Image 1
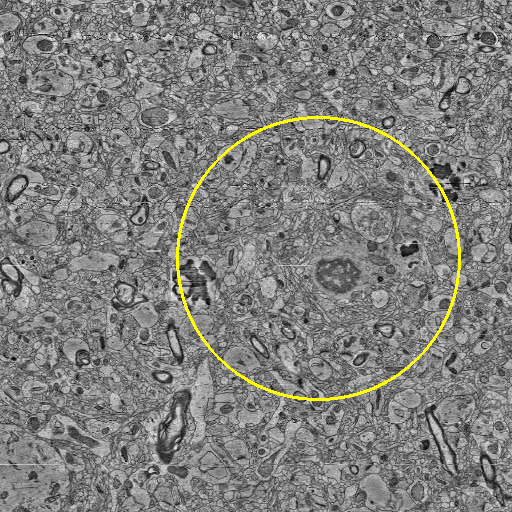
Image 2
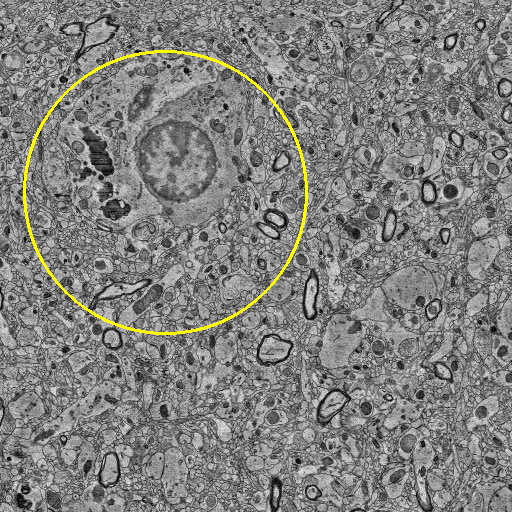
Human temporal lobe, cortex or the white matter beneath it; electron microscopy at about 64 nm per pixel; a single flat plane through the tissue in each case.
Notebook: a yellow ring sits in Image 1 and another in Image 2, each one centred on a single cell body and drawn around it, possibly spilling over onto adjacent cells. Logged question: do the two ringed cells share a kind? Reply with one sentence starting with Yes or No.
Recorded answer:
Yes, both centre cells inside the rings of Image 1 and Image 2 share one kind.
